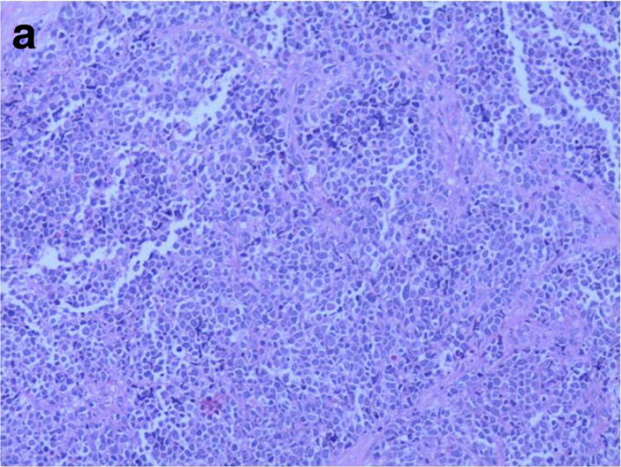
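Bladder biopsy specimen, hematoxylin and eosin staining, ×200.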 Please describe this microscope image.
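This is a densely cellular tumour made of nests and sheets of small cells with scant cytoplasm. The nuclei are round to oval, dark and closely crowded, so the field looks mostly blue-purple. Thin pink fibrous strands run between the cell groups, and narrow clefts separate some of the nests. A few red blood cells are seen among the tumour cells.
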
